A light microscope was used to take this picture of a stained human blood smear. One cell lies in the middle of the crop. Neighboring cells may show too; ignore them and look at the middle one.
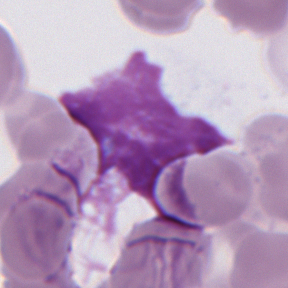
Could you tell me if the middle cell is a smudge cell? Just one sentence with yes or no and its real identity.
Yes, the cell located at the center is a smudge cell.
